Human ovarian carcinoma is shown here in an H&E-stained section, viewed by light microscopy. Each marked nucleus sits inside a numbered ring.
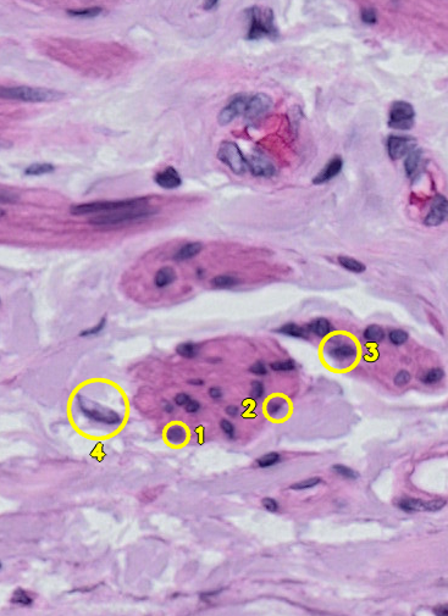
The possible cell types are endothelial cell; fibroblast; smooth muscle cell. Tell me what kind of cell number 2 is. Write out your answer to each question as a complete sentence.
The nucleus marked 2 is the nucleus of a smooth muscle cell.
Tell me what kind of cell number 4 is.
Classified as a fibroblast is the cell with the number 4.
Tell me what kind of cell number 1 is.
Denoted by the label 1 in the section is a smooth muscle cell.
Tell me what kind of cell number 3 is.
Nucleus 3 in this section belongs to a smooth muscle cell.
